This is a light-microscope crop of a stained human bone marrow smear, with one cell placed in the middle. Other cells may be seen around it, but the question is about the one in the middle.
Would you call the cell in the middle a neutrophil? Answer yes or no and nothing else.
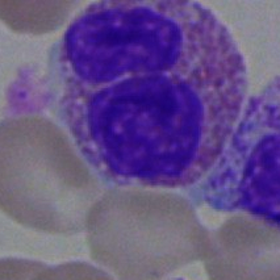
no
